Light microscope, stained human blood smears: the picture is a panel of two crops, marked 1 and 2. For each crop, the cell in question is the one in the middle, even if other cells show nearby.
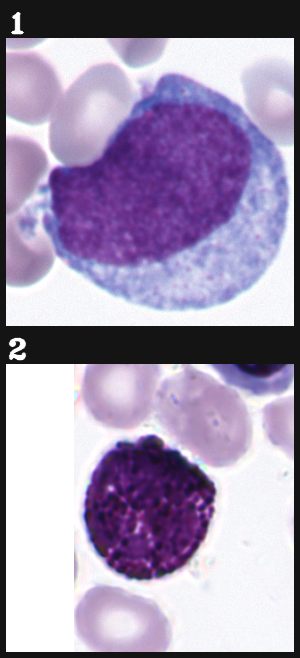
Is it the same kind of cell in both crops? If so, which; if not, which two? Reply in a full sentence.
No, at the centre of crop 1 is a promyelocyte, and at the centre of crop 2 is a basophil.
